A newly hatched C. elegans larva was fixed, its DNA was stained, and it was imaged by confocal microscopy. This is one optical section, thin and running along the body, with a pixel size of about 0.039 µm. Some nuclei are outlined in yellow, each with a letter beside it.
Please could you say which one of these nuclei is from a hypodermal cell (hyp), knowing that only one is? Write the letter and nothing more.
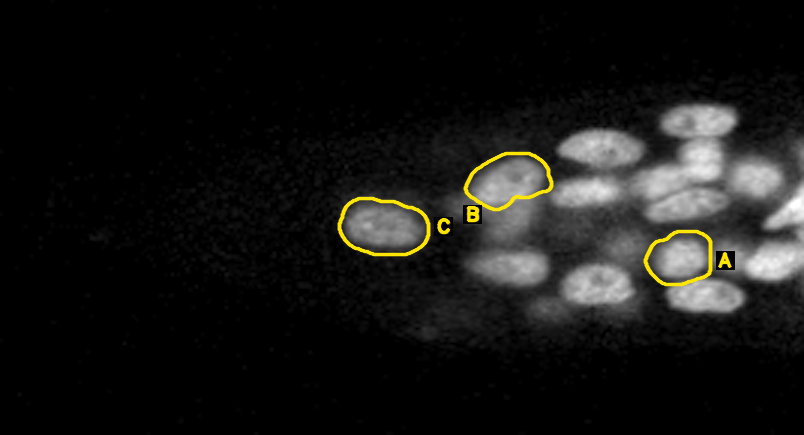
C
